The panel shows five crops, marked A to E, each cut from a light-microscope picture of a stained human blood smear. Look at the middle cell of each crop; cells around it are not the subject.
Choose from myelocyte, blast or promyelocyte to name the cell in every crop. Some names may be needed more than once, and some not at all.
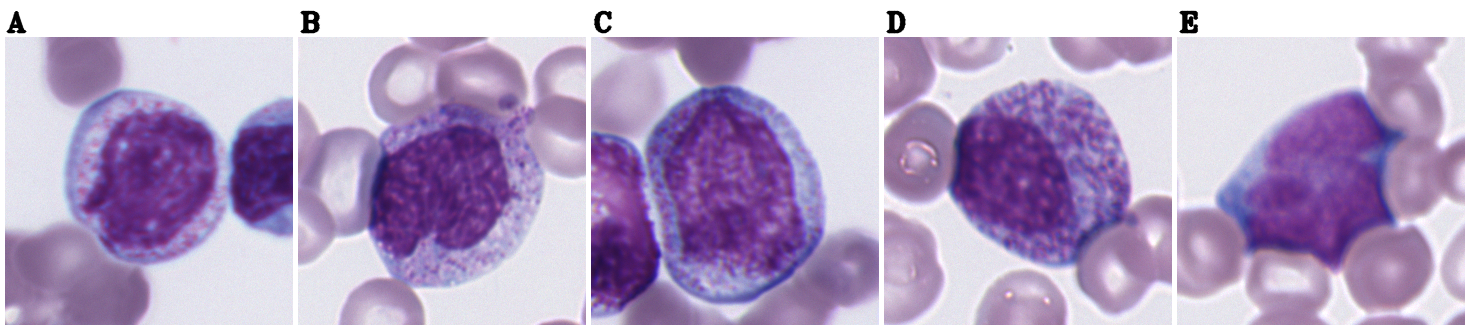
A: myelocyte
B: myelocyte
C: promyelocyte
D: myelocyte
E: blast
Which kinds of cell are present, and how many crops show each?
myelocyte: 3
promyelocyte: 1
blast: 1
